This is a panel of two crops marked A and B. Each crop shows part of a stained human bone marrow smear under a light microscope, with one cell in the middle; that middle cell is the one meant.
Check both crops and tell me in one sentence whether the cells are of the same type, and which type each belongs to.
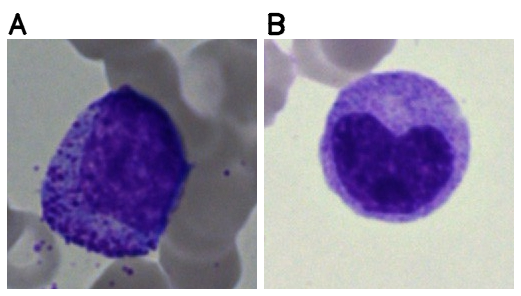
No, crop A carries a myelocyte and crop B carries a metamyelocyte.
